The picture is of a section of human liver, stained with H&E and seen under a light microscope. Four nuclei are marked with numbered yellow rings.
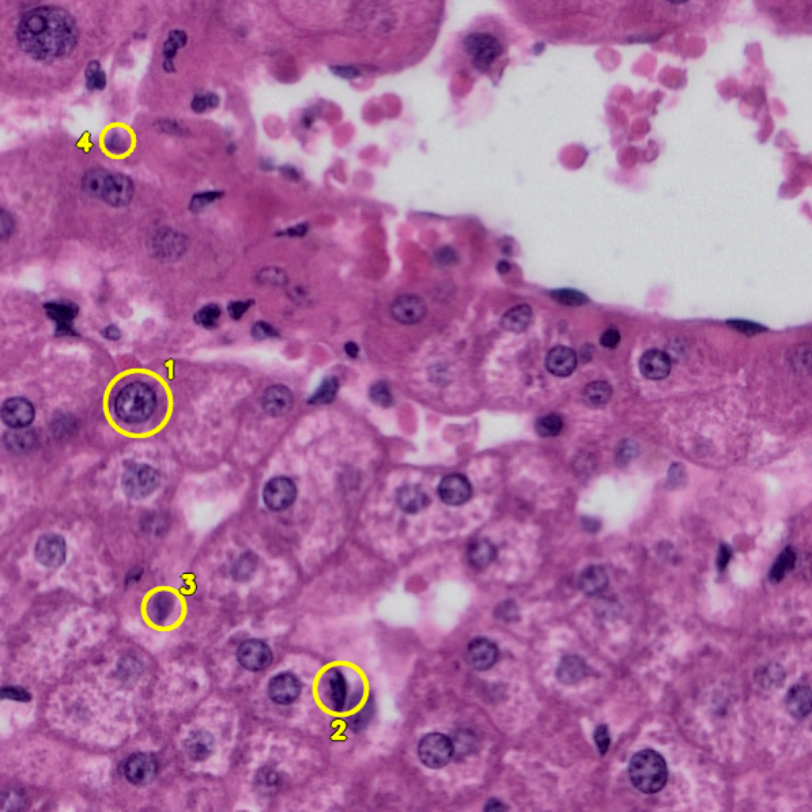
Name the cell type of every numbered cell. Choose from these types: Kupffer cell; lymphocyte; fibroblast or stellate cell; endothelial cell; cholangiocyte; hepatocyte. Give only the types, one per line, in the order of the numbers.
hepatocyte
fibroblast or stellate cell
Kupffer cell
fibroblast or stellate cell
